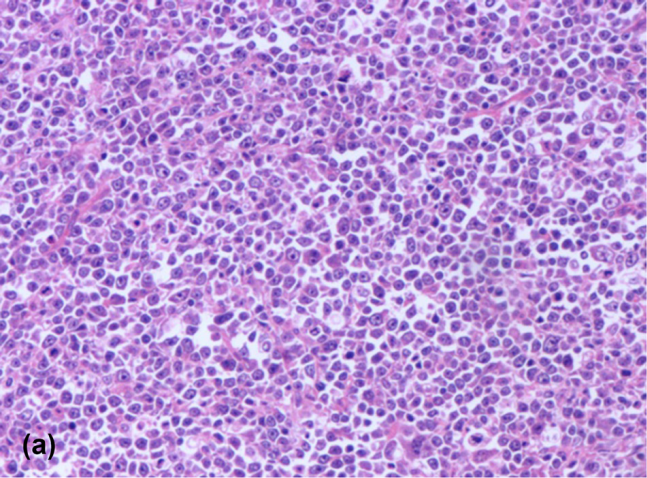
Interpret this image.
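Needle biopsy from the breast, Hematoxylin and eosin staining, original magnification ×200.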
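The cells are medium to large, closely packed, with round nuclei, dark purple chromatin and scant to moderate cytoplasm. A few thin pink stromal strands and small clear gaps break up the sheet into vague patches. The cells look fairly monotonous in size and shape across the field, and no cohesive epithelial clusters or gland formation can be seen.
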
